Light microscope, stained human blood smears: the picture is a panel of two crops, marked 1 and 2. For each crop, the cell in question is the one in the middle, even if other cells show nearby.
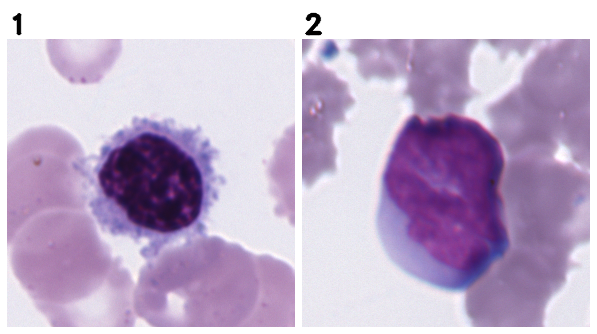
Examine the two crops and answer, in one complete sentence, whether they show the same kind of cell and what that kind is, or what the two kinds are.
No, the middle of crop 1 shows a hairy cell, and the middle of crop 2 shows a blast.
